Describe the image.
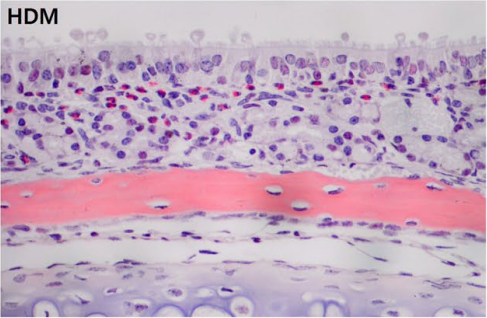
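Nasal mucosa with a tall, ciliated columnar surface epithelium above a cell-rich connective tissue layer that is heavily infiltrated by eosinophils, seen as cells with bright red cytoplasmic granules among purple nuclei. The infiltrating cells gather mostly just beneath the epithelium. Deeper lies a thick, smooth band of pink-staining bone, and pale purple cartilage with large rounded lacunae appears at the bottom.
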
